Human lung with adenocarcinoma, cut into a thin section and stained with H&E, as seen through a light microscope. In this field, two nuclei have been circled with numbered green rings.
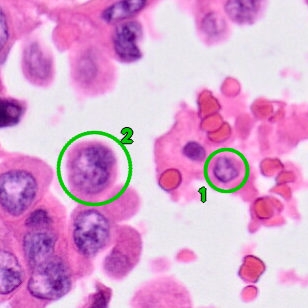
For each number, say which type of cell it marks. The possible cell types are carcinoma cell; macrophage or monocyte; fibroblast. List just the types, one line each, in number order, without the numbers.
macrophage or monocyte
carcinoma cell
